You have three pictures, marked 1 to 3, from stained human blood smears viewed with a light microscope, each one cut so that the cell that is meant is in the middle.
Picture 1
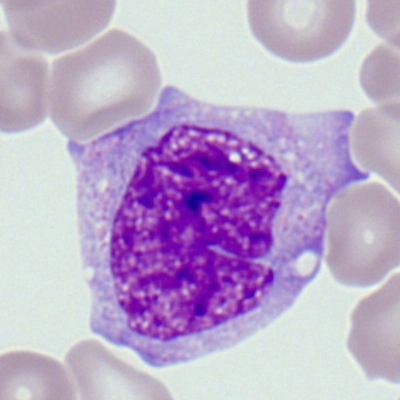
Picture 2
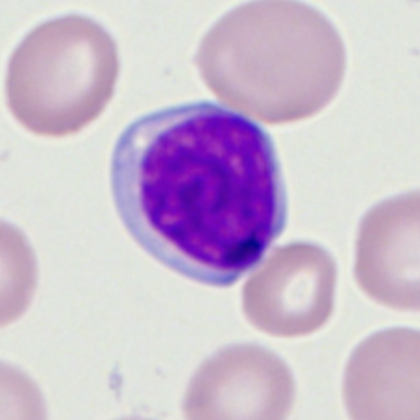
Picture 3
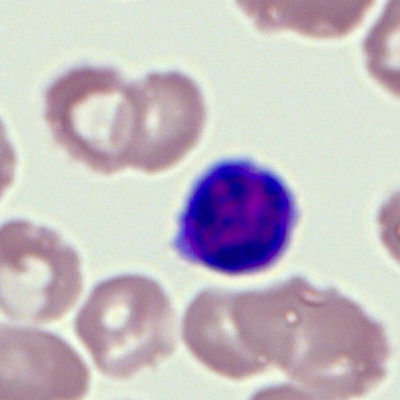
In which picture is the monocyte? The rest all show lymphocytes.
1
